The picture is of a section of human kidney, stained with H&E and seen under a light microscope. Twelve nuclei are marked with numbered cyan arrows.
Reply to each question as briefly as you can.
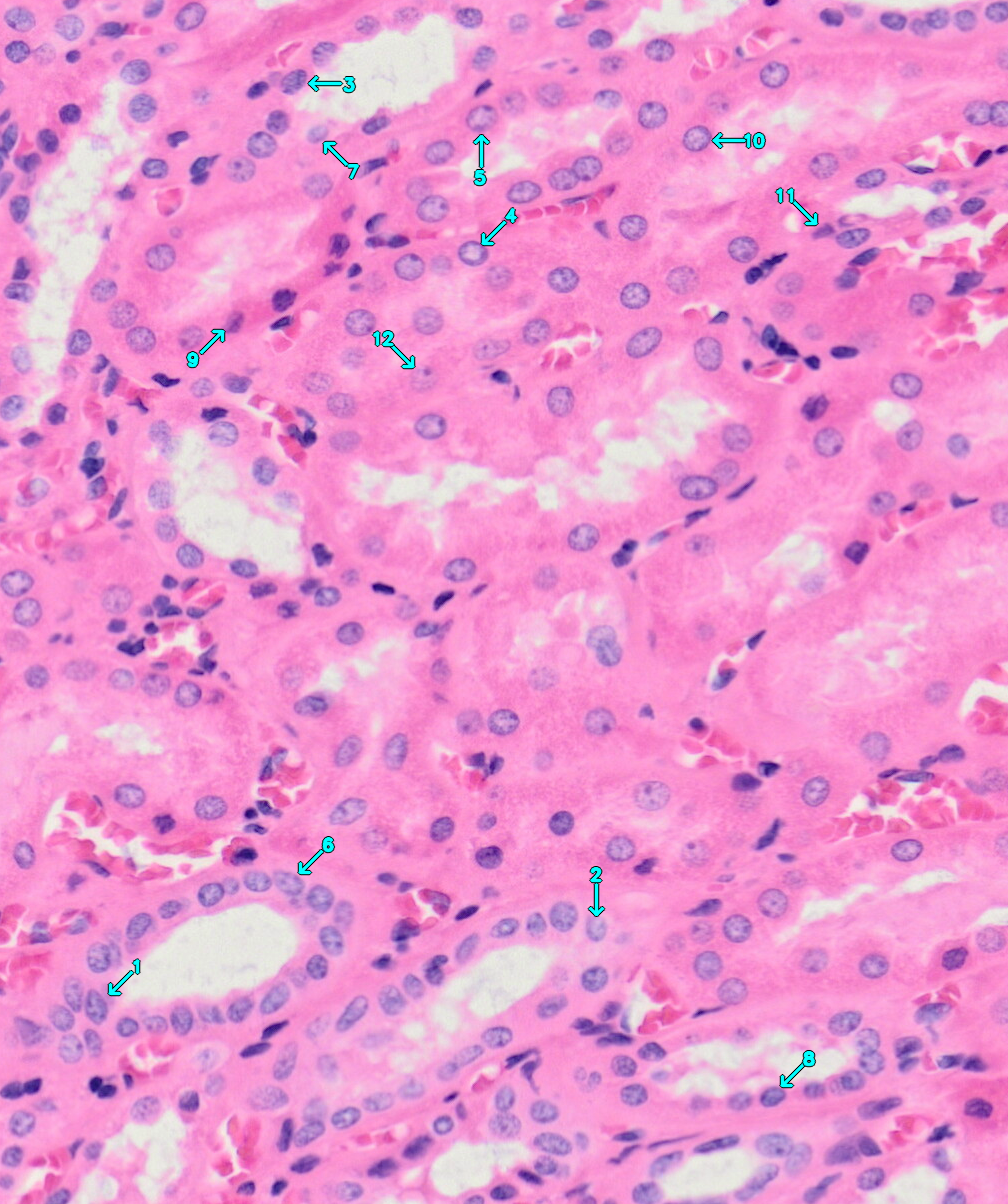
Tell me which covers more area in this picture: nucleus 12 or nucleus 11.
12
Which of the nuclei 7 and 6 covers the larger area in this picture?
6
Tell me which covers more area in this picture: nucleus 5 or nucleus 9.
5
